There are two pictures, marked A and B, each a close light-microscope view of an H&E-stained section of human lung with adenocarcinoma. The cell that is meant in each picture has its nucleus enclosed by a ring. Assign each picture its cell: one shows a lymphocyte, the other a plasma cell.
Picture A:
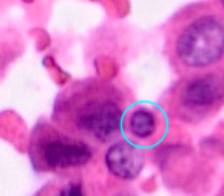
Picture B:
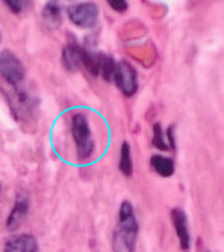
A: lymphocyte
B: plasma cell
